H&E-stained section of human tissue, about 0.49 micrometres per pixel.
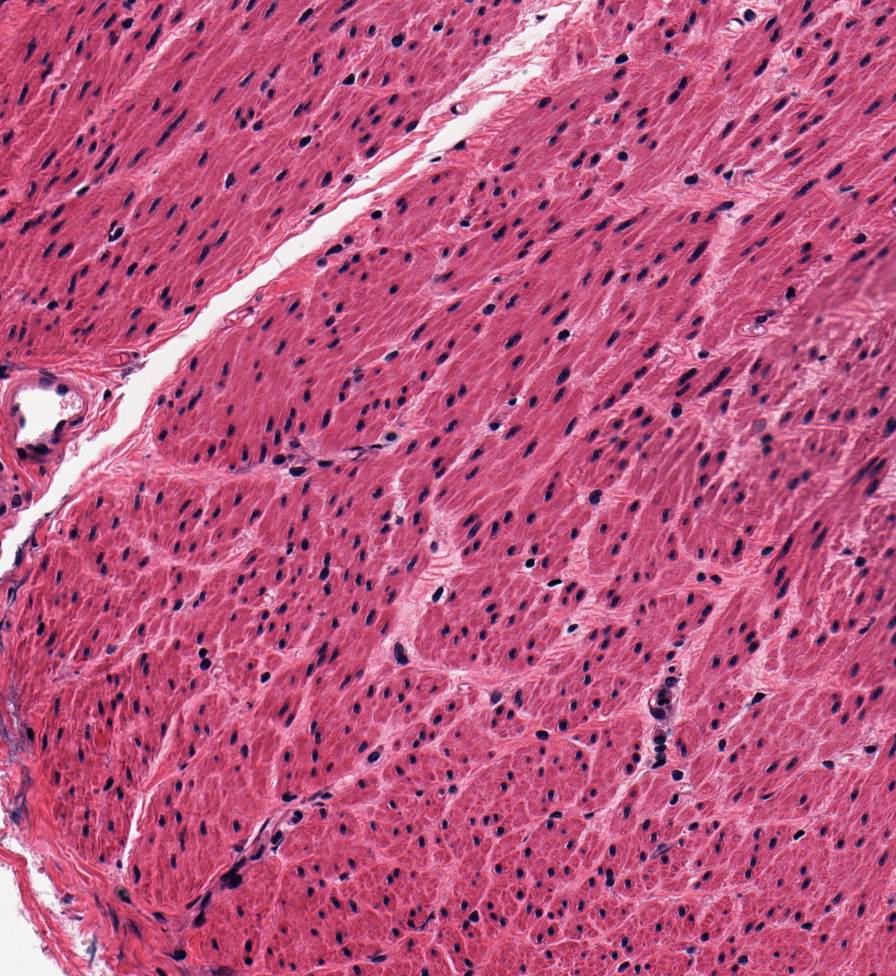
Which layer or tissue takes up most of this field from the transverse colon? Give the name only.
smooth muscle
